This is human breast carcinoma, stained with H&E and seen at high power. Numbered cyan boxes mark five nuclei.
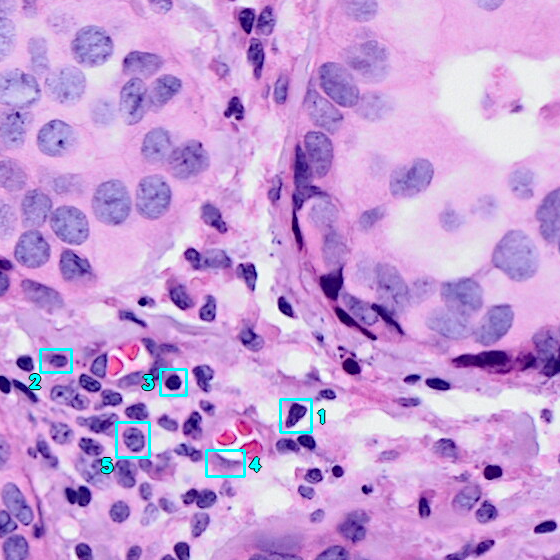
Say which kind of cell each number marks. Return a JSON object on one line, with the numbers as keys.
{"1": "lymphocyte", "2": "mast cell", "3": "lymphocyte", "4": "endothelial cell", "5": "mast cell"}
